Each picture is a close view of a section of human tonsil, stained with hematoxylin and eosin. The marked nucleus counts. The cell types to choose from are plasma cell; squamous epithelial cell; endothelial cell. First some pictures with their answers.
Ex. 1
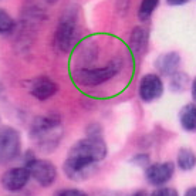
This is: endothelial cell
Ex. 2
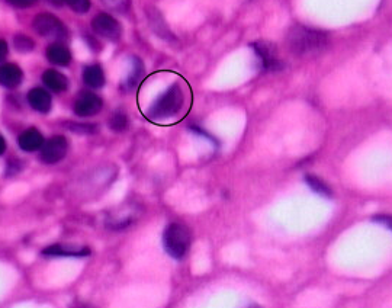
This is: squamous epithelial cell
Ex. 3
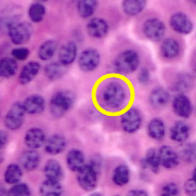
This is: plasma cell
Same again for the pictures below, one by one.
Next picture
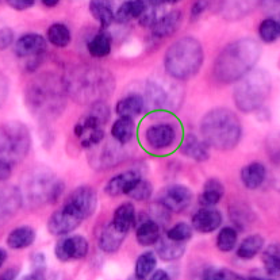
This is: endothelial cell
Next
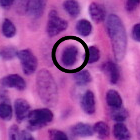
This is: endothelial cell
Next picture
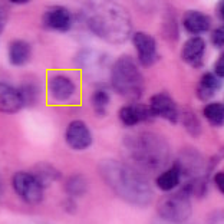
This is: endothelial cell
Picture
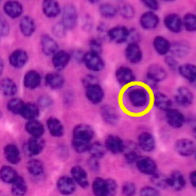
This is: plasma cell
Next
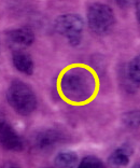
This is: squamous epithelial cell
